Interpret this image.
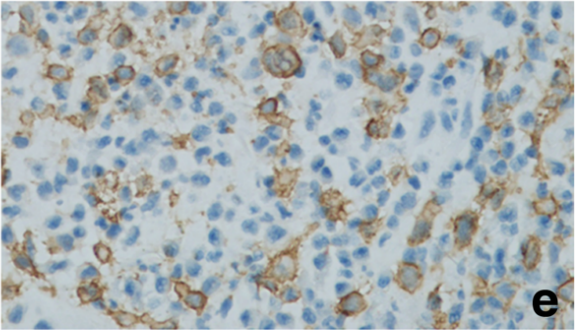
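Against a blue-counterstained background of many small and medium nuclei, numerous large cells stand out with brown stain outlining their membranes. The brown rims surround large oval, pale blue nuclei, and some stained cells show short brown projections. The stained cells are scattered fairly evenly through the field rather than forming a single cluster. Smaller cells between them remain unstained.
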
